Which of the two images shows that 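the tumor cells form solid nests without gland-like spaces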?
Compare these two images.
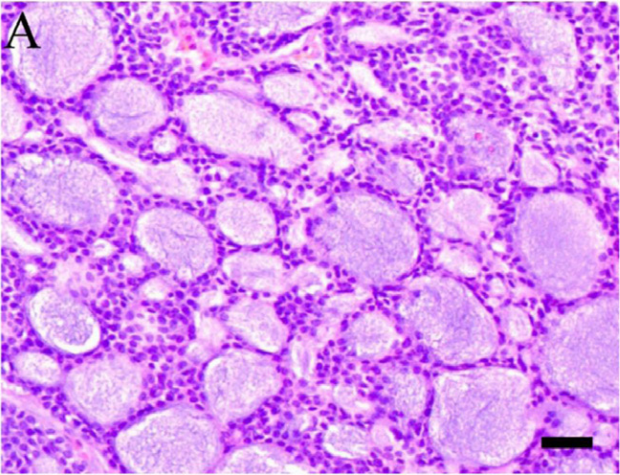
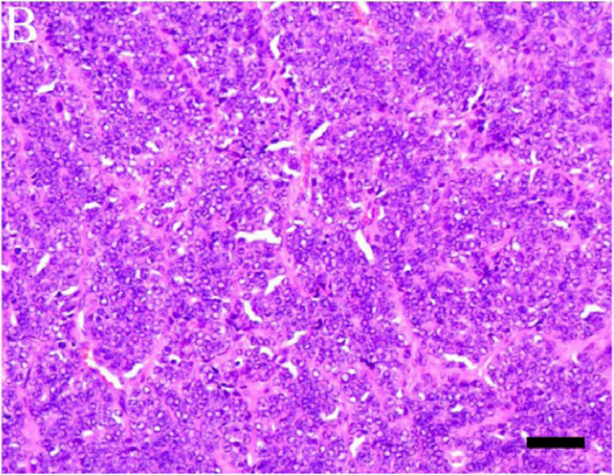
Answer: the second image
